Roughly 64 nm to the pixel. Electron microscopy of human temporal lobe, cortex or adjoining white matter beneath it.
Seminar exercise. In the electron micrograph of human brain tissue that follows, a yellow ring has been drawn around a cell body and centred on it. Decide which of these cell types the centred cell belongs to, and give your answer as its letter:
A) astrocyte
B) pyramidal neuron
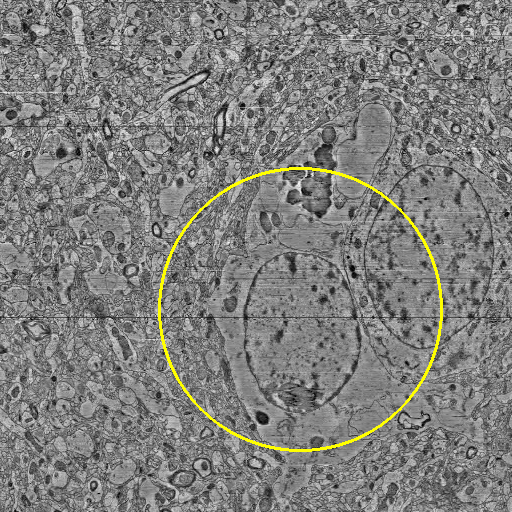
A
